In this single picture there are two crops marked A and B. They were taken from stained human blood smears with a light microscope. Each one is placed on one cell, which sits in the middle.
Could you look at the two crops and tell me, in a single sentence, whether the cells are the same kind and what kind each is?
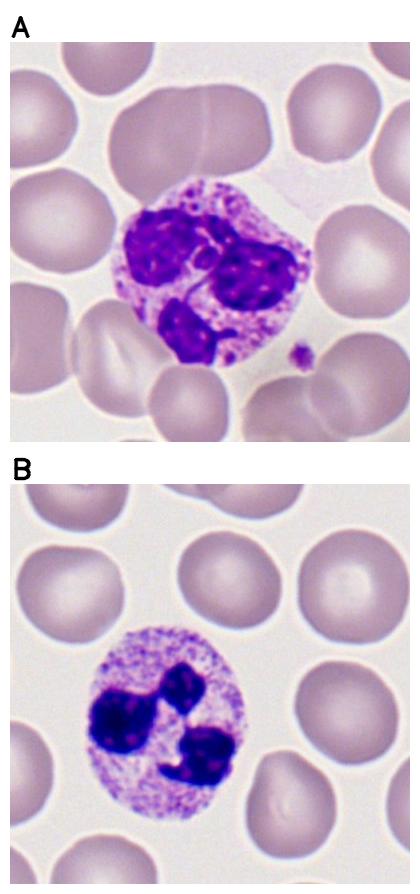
No, that is not right; crop A shows a basophil and crop B shows a segmented neutrophil.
